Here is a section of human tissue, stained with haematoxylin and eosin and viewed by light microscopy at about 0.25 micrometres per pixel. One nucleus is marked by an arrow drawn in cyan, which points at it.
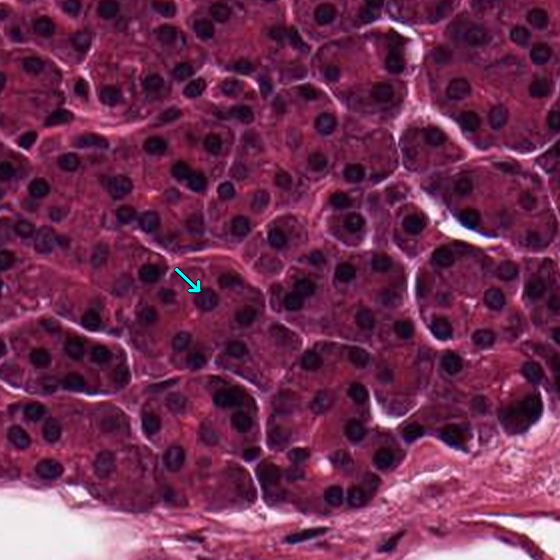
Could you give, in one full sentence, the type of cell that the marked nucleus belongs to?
The nucleus indicated by the mark belongs to a pancreatic acinar cell.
